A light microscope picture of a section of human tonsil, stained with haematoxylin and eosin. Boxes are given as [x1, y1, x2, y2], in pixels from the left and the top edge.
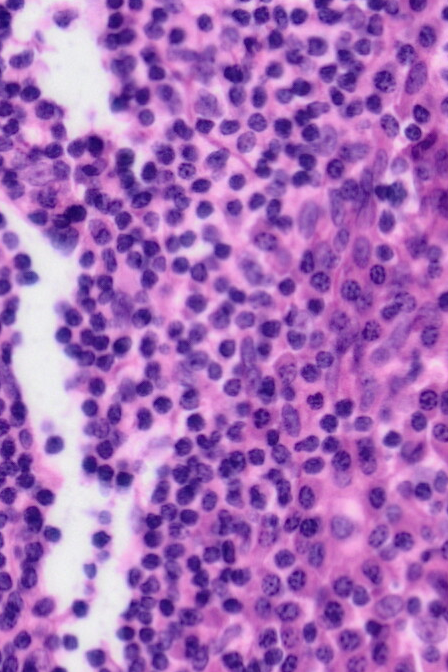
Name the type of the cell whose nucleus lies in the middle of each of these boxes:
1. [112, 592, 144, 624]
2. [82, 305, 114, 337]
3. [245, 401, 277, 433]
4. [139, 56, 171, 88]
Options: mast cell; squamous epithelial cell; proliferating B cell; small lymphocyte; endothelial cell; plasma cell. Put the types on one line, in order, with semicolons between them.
small lymphocyte; small lymphocyte; plasma cell; small lymphocyte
